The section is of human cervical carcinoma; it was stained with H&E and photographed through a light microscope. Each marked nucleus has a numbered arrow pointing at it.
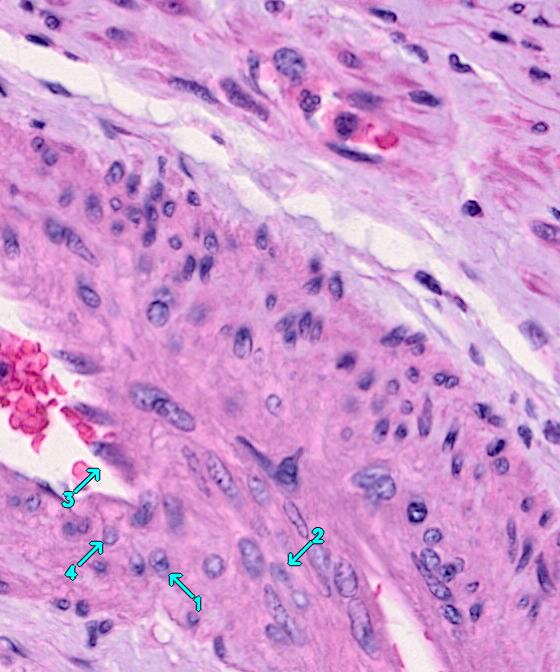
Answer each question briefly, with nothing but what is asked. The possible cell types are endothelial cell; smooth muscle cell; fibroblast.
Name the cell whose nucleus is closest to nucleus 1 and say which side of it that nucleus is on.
a smooth muscle cell to the left of nucleus 1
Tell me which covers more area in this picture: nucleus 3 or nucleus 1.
3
